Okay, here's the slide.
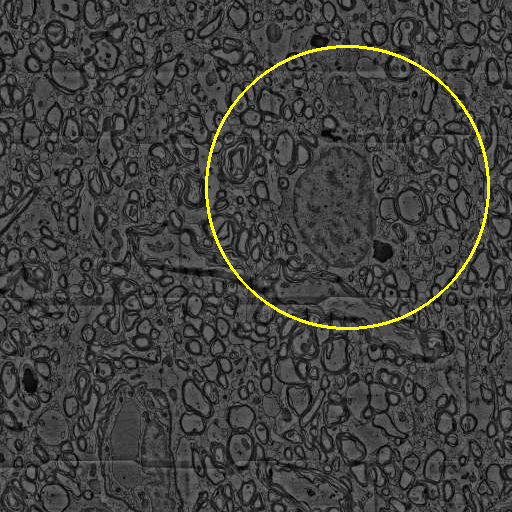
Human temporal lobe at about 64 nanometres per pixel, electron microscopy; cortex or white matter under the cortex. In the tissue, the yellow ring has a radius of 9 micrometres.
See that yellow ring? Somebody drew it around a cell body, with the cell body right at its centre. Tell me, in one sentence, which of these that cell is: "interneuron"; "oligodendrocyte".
The cell in the middle of the ring is an oligodendrocyte.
